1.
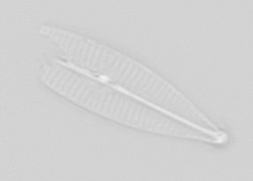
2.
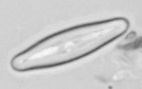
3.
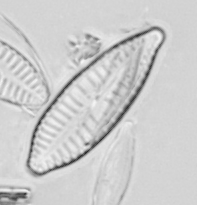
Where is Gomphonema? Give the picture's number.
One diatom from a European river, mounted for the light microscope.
3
